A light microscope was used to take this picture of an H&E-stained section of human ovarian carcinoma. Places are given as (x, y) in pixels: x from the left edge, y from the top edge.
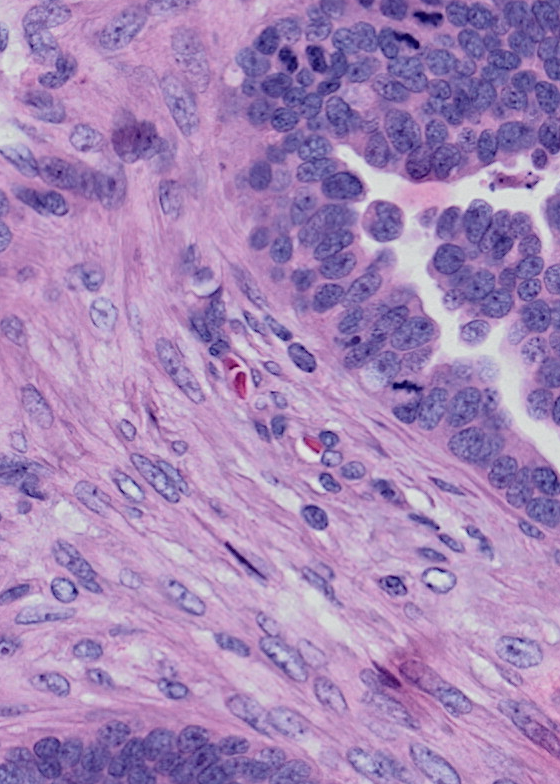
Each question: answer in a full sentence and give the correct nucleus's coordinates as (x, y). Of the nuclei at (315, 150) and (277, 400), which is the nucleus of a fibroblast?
At (277, 400) lies the nucleus that belongs to a fibroblast.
